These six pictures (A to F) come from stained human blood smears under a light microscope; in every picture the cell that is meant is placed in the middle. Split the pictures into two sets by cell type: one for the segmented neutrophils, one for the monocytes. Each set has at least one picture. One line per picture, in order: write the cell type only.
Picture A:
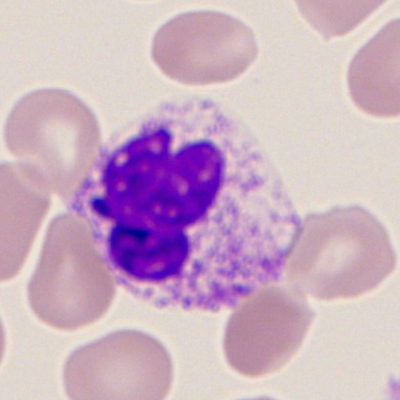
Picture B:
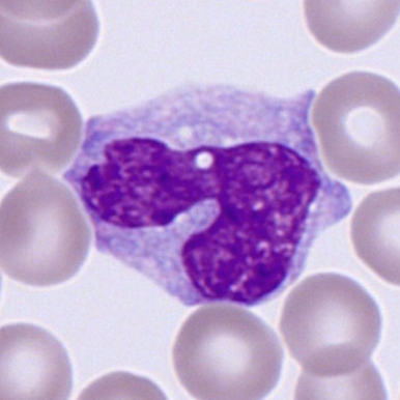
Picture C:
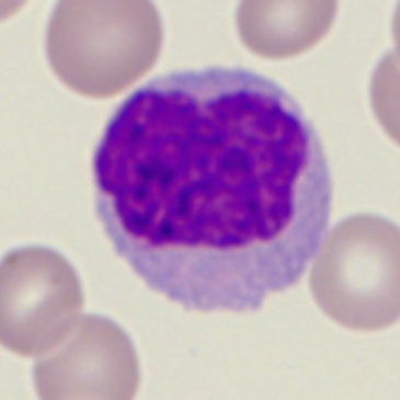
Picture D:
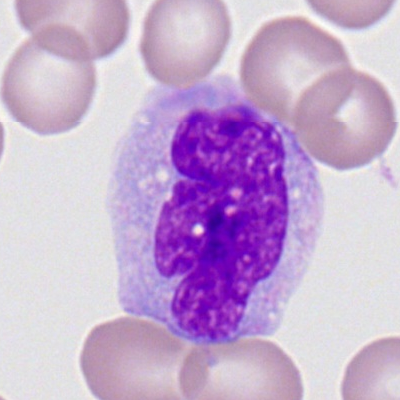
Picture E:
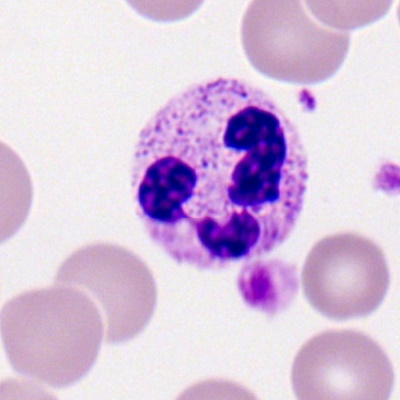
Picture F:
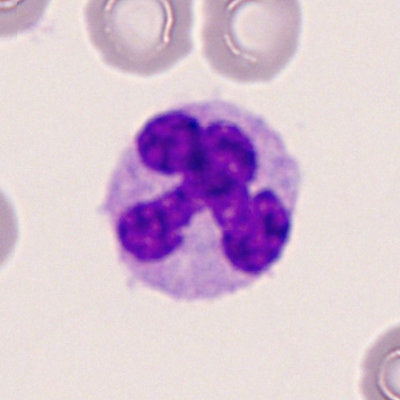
segmented neutrophil
monocyte
monocyte
monocyte
segmented neutrophil
monocyte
